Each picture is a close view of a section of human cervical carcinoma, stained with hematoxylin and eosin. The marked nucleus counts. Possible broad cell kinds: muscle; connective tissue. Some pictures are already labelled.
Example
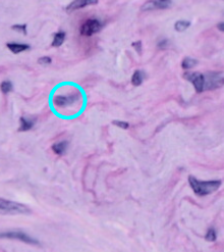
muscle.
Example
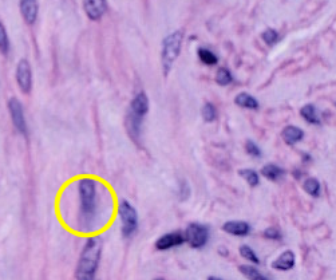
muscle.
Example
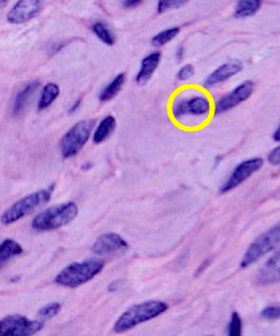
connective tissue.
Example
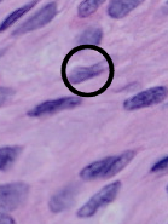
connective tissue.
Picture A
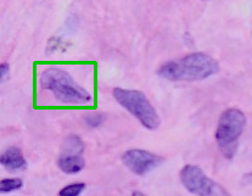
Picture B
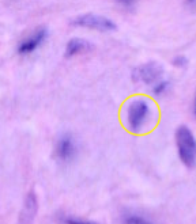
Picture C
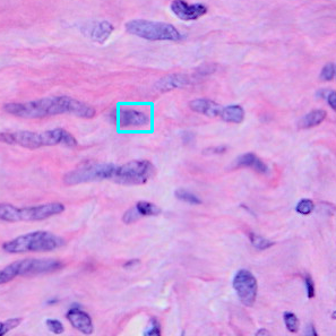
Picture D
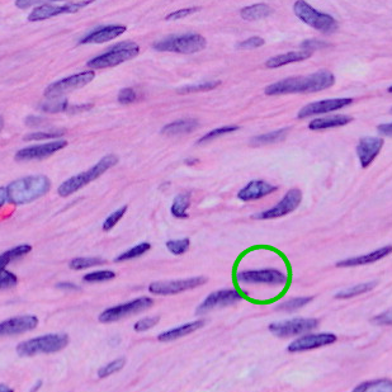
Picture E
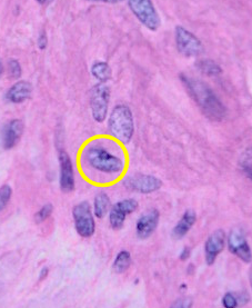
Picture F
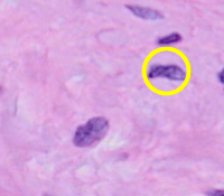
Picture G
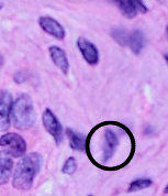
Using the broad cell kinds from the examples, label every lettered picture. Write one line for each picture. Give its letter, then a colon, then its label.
A: connective tissue.
B: connective tissue.
C: muscle.
D: connective tissue.
E: muscle.
F: connective tissue.
G: connective tissue.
